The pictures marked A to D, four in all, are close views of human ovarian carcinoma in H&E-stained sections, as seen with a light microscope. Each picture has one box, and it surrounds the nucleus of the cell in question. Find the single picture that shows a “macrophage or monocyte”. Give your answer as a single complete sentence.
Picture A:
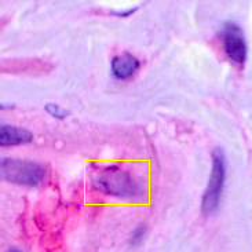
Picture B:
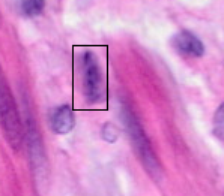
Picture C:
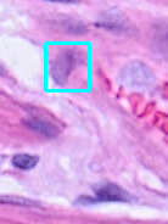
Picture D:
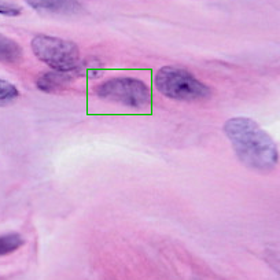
It is picture B that shows the “macrophage or monocyte”.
